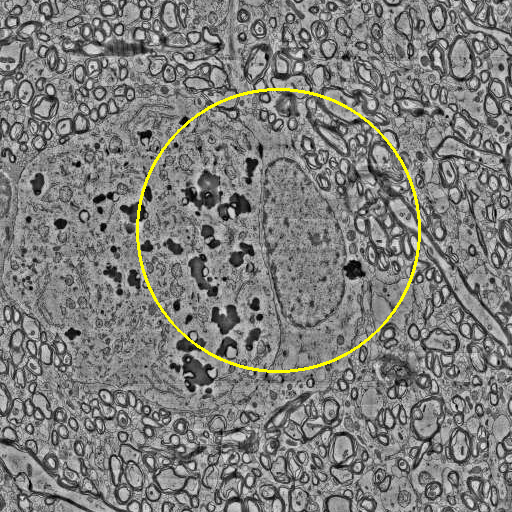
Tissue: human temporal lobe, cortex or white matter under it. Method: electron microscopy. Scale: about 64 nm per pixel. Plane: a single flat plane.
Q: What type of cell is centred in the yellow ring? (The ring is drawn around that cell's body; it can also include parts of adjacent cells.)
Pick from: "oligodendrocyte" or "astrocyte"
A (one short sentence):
The yellow ring is centred on an astrocyte.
